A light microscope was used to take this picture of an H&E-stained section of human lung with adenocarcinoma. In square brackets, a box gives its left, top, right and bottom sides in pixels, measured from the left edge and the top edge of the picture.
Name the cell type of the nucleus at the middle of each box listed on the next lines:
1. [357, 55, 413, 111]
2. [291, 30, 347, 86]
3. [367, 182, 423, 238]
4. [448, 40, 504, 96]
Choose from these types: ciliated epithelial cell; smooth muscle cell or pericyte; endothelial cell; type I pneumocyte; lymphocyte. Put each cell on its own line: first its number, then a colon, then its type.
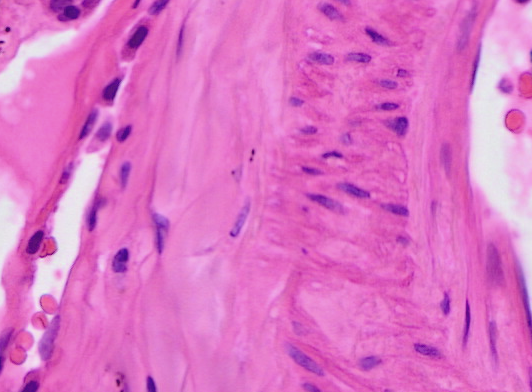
1: smooth muscle cell or pericyte
2: smooth muscle cell or pericyte
3: smooth muscle cell or pericyte
4: endothelial cell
